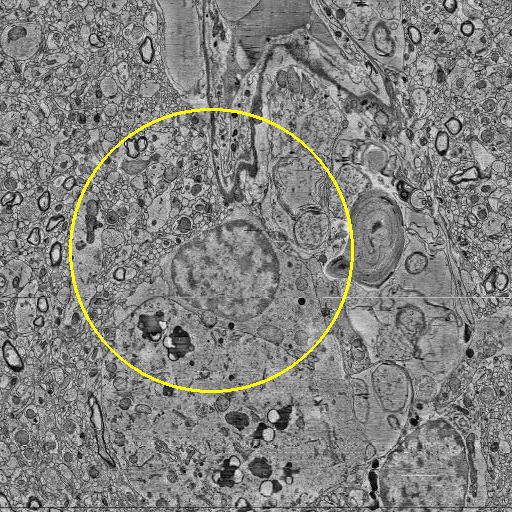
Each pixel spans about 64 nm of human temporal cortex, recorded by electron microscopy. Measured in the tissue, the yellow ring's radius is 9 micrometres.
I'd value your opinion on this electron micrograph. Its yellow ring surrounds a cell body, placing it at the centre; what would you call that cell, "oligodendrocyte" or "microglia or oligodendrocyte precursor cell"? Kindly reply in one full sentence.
It is an oligodendrocyte that sits centred within the yellow ring in this micrograph.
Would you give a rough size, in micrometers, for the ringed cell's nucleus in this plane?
Approximately 7 micrometres across in this plane.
